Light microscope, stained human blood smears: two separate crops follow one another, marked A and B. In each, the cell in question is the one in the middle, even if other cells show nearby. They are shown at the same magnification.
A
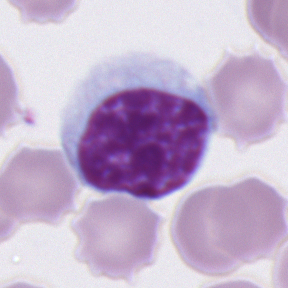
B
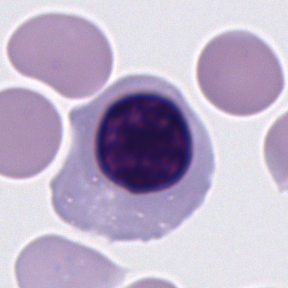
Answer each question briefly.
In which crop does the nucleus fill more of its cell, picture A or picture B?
A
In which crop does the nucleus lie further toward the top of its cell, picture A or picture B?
B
